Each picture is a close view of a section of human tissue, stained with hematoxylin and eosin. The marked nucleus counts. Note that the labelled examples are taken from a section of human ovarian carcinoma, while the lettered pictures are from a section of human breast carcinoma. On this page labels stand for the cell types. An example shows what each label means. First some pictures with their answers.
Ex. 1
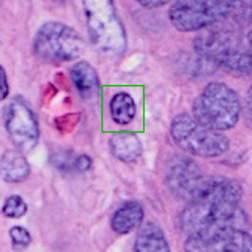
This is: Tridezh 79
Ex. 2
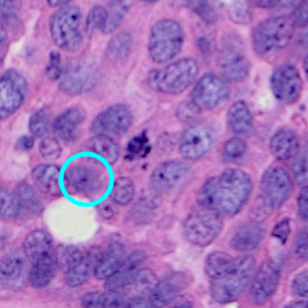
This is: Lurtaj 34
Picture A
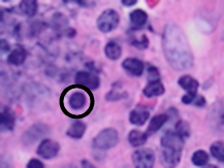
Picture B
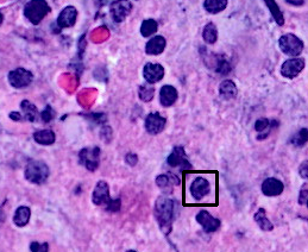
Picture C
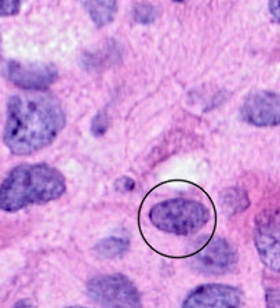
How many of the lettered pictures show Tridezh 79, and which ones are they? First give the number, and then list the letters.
2, namely A, B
